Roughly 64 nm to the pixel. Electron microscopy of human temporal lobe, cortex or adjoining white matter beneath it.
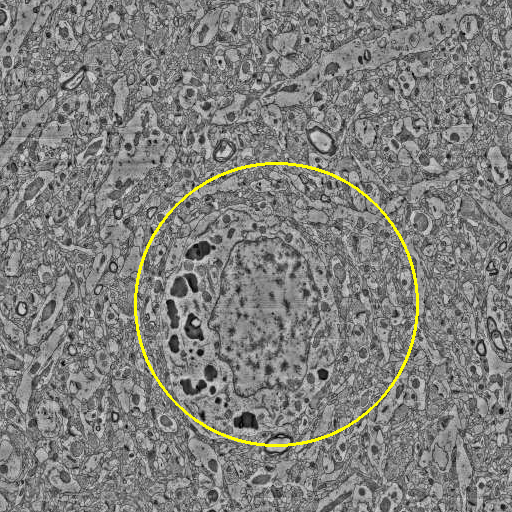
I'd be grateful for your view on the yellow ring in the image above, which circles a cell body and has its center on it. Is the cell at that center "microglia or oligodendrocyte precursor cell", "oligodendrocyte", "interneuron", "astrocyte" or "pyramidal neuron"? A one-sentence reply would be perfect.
The cell at the center of the yellow ring is an interneuron.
